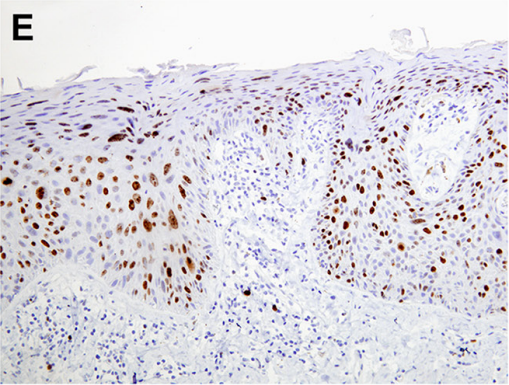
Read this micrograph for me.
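A stratified squamous epithelium with rete ridges overlies loose pale stroma, and many epithelial nuclei are stained brown while others are blue. The brown nuclei are not confined to the basal layer but are spread from the base up through the middle and into the upper layers, nearly to the surface. They are oval to irregular and of varying size. The stromal cells below and the papillae between ridges are mostly blue with few brown nuclei.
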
